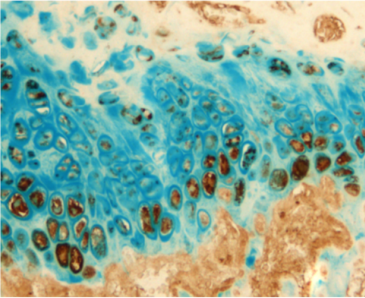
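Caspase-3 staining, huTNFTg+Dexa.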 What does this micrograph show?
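Growth plate cartilage with crowded chondrocytes in lacunae, set in a blue-stained matrix. Many of these cells are stained dark brown. The cells form clusters and short, irregular columns, and brown-stained tissue lies beneath the cartilage.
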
